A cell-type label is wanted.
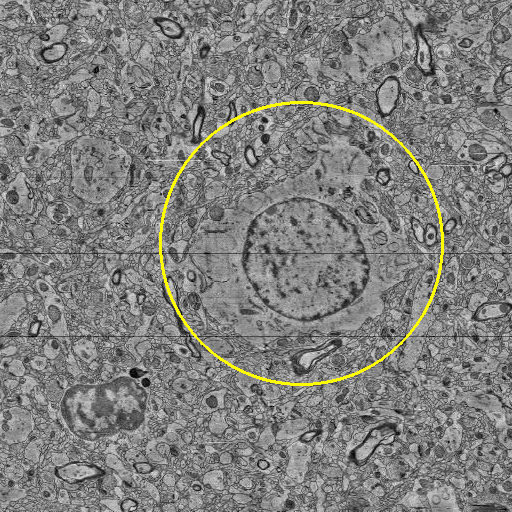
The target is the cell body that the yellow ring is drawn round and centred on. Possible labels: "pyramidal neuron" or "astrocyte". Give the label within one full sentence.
Of the labels offered, the cell in the middle of the yellow ring is an astrocyte.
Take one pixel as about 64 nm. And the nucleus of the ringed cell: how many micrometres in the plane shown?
The ringed cell's nucleus is about 8 micrometres across in this plane.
